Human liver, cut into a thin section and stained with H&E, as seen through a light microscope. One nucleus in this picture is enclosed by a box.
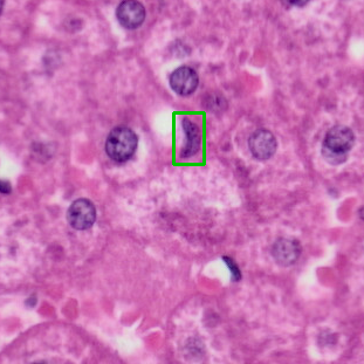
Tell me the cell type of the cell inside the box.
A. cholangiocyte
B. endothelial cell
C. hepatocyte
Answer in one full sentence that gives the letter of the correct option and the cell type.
The correct option, B, describes the cell inside the box as an endothelial cell.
